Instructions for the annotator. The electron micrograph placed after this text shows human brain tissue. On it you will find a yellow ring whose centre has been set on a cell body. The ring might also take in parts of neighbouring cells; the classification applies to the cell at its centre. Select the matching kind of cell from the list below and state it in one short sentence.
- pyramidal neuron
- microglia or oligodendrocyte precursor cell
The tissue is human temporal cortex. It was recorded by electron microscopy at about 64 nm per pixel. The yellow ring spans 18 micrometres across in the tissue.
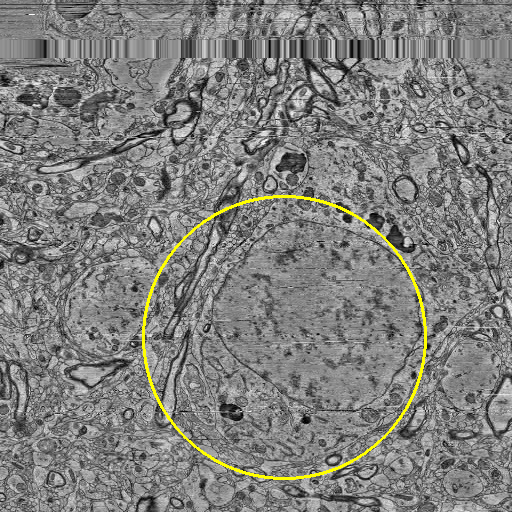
The ring is drawn on the cell body of a pyramidal neuron.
